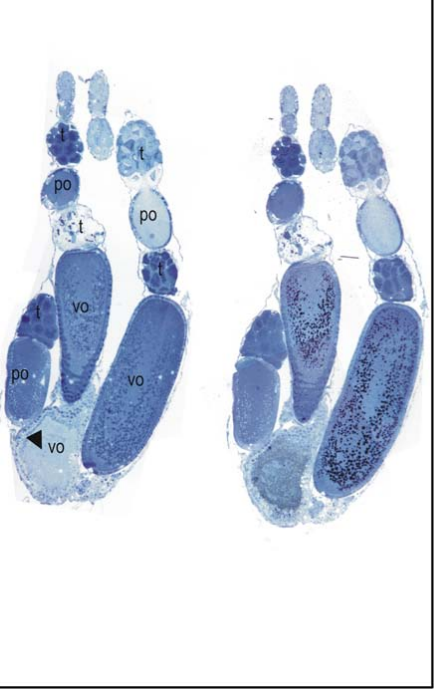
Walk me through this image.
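Two sections of an ovary side by side, each showing short tubular strings of tissue stained in shades of blue. Along each string, compact lobulated clusters of small darkly stained cells alternate with single rounded or oval oocytes, which enlarge toward the lower end. The largest oocytes are long ovals filled with a finely granular cytoplasm and bordered by a thin layer of small cells. In the right-hand section these large oocytes are densely speckled with black dots, while the matching oocytes on the left lack them. At the lower end lies a paler, mottled oocyte with an uneven outline.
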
